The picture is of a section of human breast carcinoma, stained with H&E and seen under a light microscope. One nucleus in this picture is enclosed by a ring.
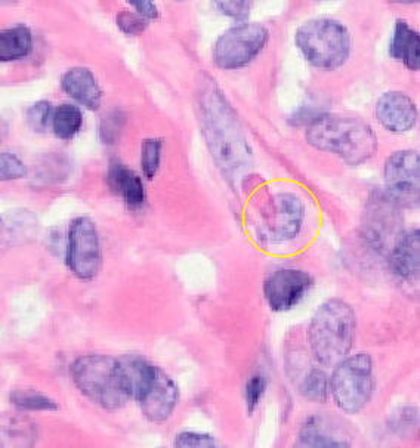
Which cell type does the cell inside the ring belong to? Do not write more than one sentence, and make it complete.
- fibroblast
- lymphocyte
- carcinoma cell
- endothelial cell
Labelled by cell type, the cell inside the ring is an endothelial cell.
